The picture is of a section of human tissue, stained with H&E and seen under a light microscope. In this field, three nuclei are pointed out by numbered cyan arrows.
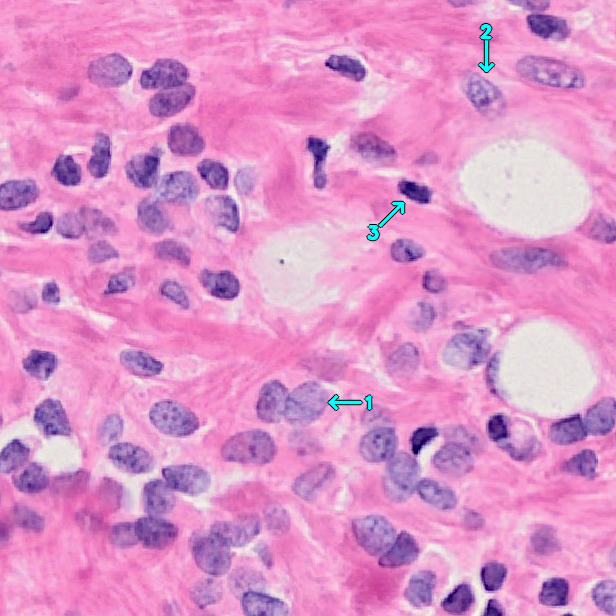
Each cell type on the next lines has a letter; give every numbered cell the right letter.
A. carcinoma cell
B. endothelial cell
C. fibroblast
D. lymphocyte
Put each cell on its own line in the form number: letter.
1: A
2: C
3: D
